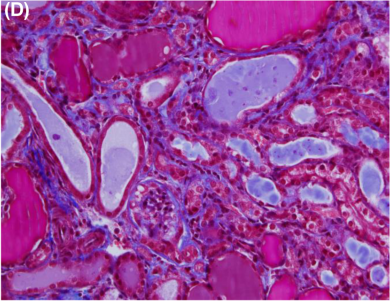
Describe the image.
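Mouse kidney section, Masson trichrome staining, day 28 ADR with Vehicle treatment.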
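This is renal cortex with marked interstitial fibrosis: blue-stained fibrous tissue widens the spaces between the tubules across the field. Many tubules are dilated and filled with homogeneous casts, some deep red, others pale blue, while their lining epithelium is flattened. Between them the interstitium holds numerous small dark nuclei. A glomerulus sits among the damaged tubules, surrounded by blue fibrous tissue. The remaining tubular epithelium stains red with irregular, crowded cells, quite unlike the evenly packed red tubules of a normal cortex.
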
